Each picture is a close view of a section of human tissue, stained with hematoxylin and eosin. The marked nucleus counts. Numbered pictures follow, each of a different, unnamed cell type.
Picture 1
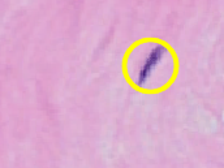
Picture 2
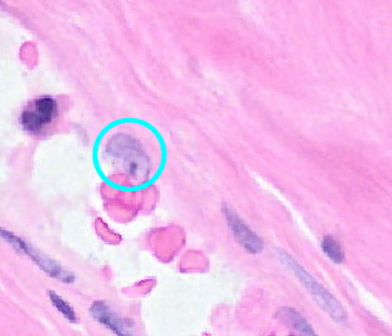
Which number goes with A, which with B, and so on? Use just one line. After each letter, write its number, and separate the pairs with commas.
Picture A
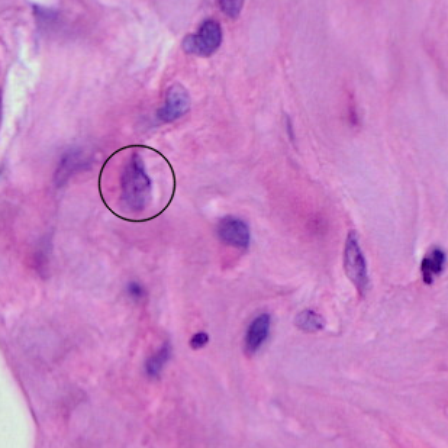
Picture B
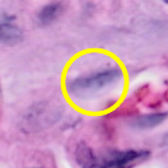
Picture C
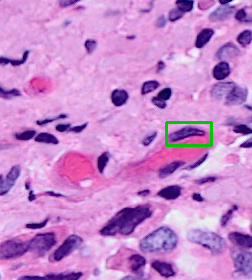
A 1, B 2, C 2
